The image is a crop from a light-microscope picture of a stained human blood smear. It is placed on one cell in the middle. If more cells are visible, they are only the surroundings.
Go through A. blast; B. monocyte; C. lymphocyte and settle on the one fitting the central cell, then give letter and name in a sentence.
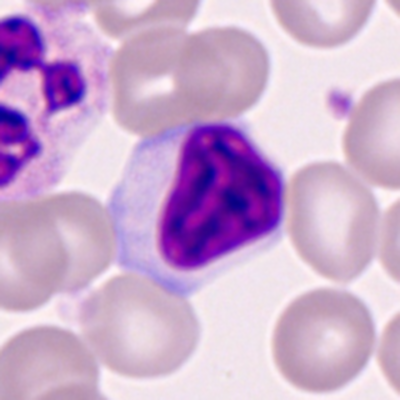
This one is option C, since the cell at the center is a lymphocyte.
